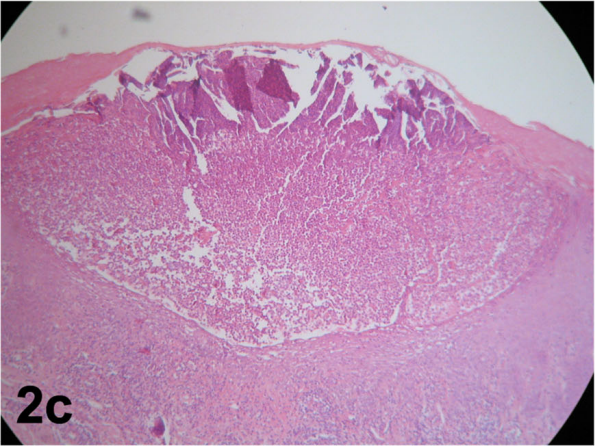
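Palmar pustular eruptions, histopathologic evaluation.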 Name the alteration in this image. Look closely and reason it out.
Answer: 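Microabscesses of subcorneal neutrophilic accumulation. A large, sharply bounded collection of densely packed small cells lies just beneath the pale pink cornified layer at the top. The collection forms a dome that lifts the surface layer. Darker purple fragmented material lines the top of the collection under the surface.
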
